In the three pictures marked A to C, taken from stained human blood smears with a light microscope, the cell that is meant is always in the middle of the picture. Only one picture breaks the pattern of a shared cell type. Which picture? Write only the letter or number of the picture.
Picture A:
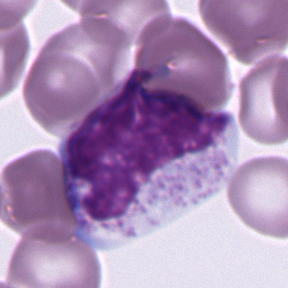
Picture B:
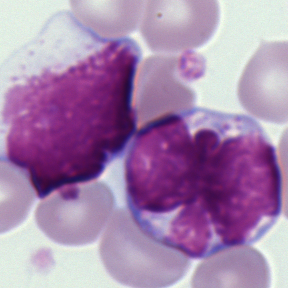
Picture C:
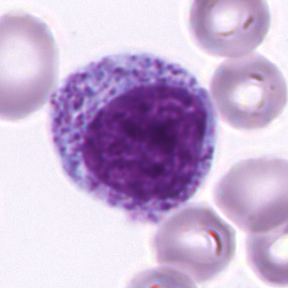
B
